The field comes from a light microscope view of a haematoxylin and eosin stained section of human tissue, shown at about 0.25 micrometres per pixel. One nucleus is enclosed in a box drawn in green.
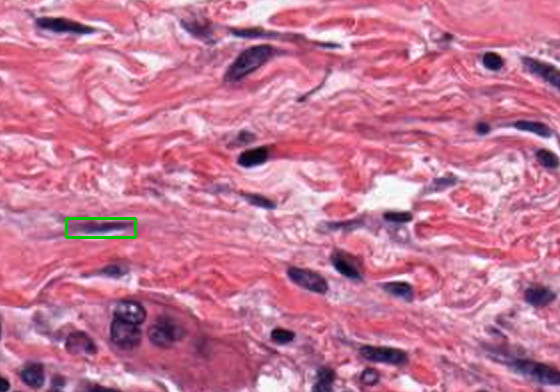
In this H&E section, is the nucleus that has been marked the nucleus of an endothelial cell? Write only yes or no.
no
